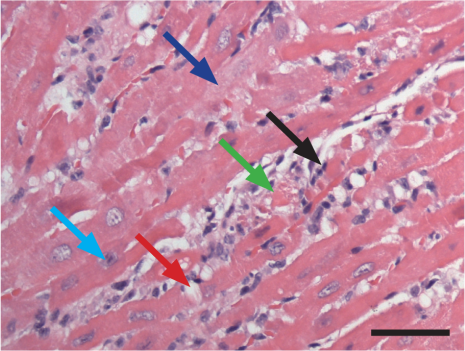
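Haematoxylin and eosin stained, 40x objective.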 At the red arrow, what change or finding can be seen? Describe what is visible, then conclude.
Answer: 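The arrow points to clear, empty white spaces. The clear spaces lie within otherwise pink tissue. On this evidence: vacuolization.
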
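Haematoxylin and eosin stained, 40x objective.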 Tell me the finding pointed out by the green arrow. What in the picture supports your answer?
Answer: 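The arrow points to an area of disrupted tissue with scattered dark nuclei. The normal striated fibre pattern is lost there. So: cardiac cell death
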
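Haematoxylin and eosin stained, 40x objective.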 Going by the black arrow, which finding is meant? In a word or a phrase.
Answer: Interstitial leukocyte infiltration.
